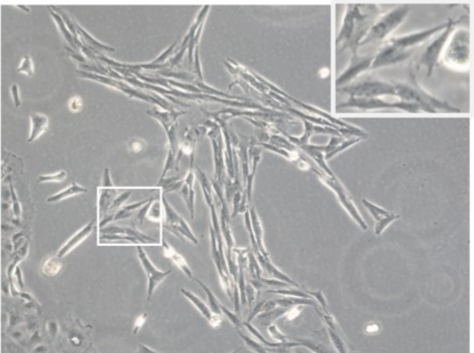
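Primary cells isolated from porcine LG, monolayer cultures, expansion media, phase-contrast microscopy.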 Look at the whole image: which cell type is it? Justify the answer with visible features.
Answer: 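Elongated, spindle-shaped cells with tapering ends. Cells align in loose bundles and streams. Oval nuclei lie in the middle of the long cell bodies. That points to this answer: fibroblast-like cells.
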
